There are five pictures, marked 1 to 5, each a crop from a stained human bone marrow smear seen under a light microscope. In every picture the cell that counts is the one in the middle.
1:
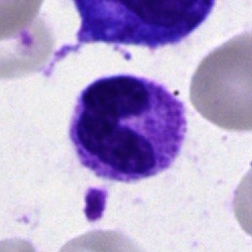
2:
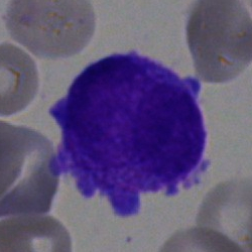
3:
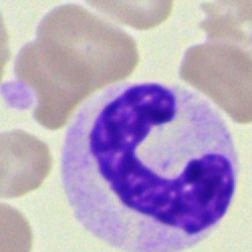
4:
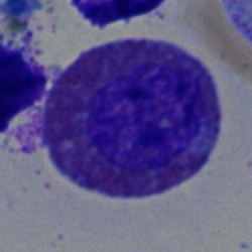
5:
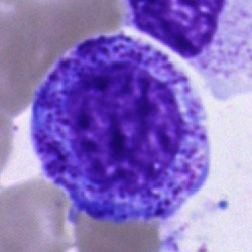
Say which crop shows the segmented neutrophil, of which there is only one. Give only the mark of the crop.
1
